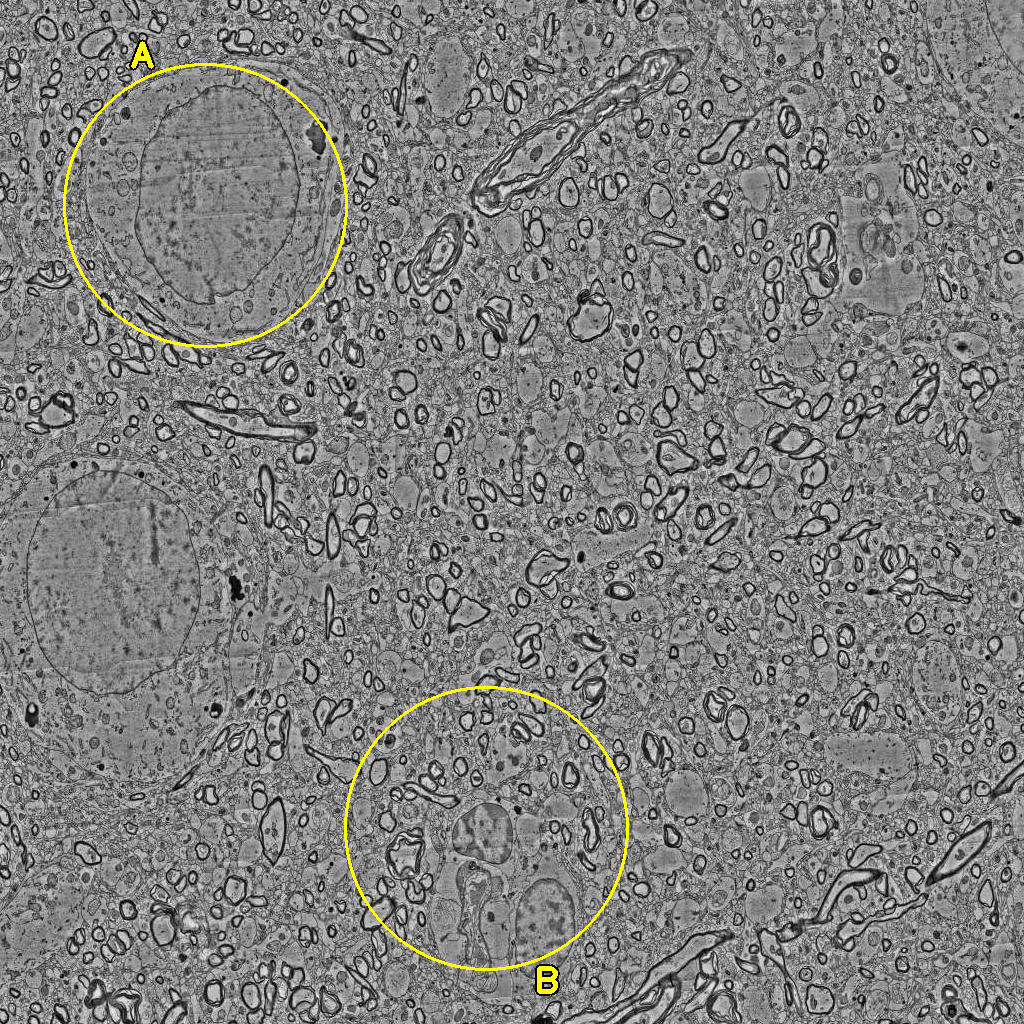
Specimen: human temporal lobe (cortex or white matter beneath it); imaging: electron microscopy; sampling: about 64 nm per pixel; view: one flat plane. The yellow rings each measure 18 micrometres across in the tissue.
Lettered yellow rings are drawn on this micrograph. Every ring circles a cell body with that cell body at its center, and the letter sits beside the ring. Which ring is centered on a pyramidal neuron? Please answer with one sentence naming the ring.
Ring A has it at its center.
